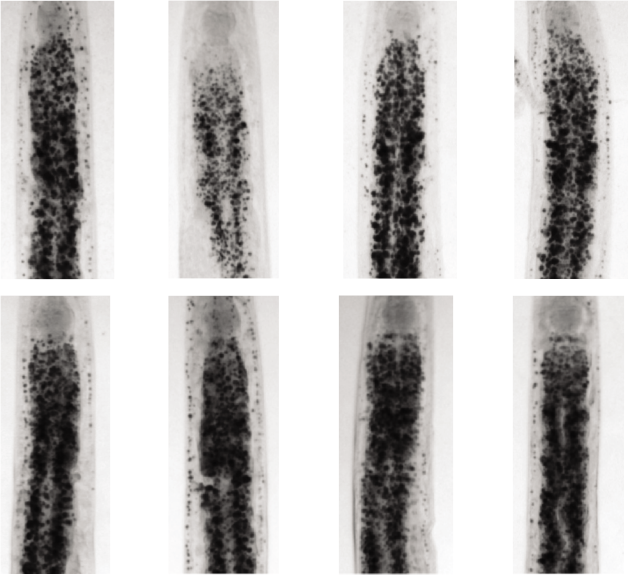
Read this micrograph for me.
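The dots are small, round and densely packed, filling a broad band that runs down the length of each body. At the front end of each worm is a paler rounded region with few or no dots. The density of dots differs between worms, with some bodies looking much more sparsely filled than others. The surrounding body outline is pale grey with little internal detail besides the dark dots.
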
